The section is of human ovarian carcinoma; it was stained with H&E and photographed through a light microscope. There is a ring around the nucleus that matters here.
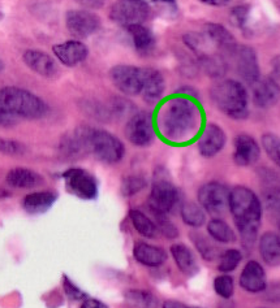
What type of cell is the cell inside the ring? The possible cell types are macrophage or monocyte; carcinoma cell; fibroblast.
carcinoma cell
